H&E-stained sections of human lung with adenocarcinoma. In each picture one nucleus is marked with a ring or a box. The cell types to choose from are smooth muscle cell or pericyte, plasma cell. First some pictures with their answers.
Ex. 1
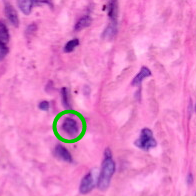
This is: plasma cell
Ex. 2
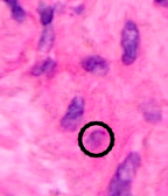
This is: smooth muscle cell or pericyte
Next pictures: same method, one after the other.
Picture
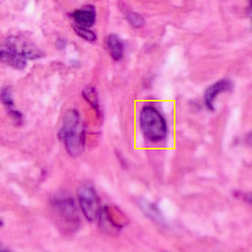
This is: plasma cell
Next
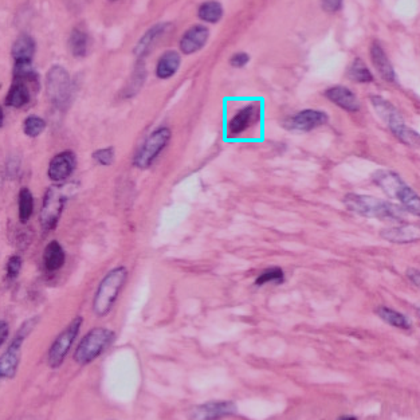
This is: plasma cell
